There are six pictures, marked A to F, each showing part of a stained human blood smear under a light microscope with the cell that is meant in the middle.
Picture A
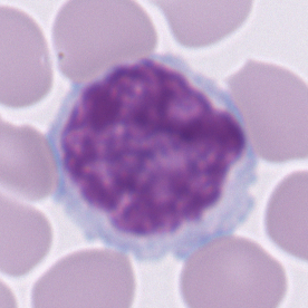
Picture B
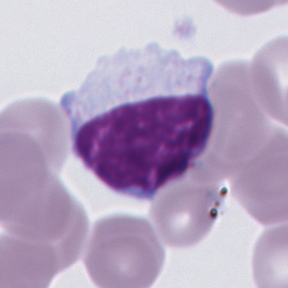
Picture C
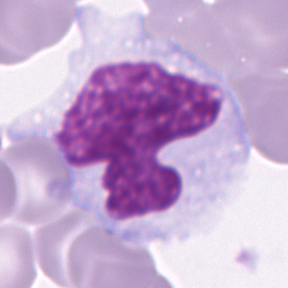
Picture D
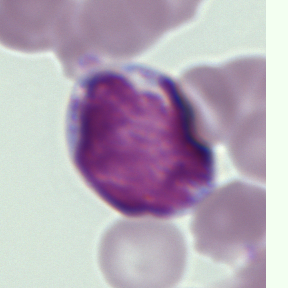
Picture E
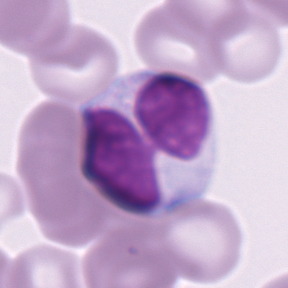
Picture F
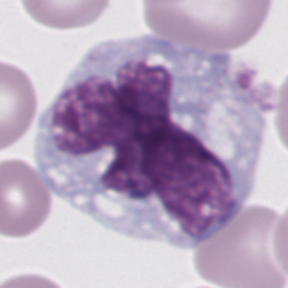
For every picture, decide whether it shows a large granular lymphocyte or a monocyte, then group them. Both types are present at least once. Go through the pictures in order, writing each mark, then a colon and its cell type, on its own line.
A: monocyte
B: large granular lymphocyte
C: monocyte
D: large granular lymphocyte
E: large granular lymphocyte
F: monocyte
